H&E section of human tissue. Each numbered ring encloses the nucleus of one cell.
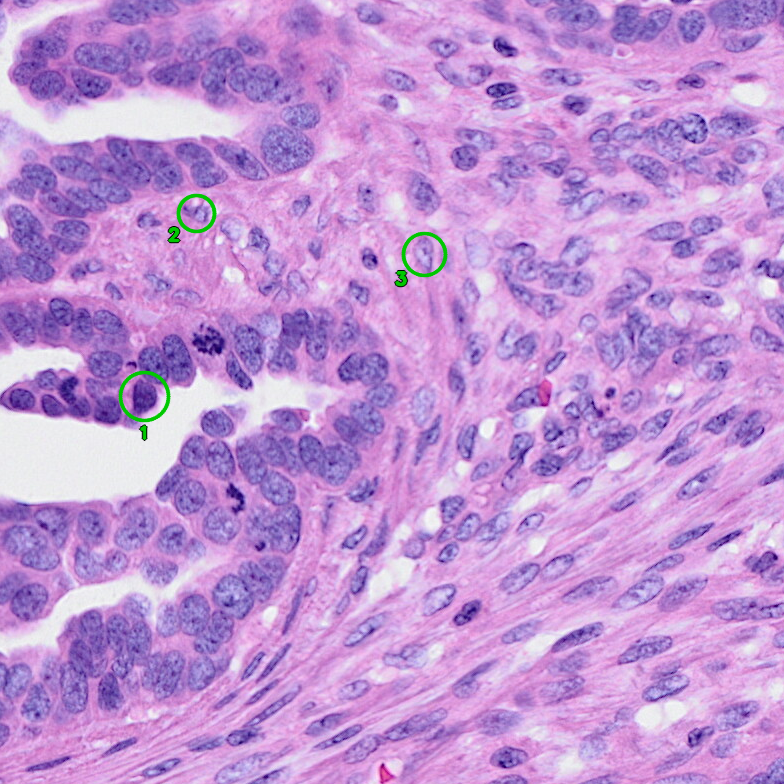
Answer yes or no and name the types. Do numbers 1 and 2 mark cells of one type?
No, sorry to say, cell 1 is a carcinoma cell and cell 2 is a fibroblast.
